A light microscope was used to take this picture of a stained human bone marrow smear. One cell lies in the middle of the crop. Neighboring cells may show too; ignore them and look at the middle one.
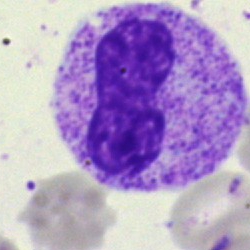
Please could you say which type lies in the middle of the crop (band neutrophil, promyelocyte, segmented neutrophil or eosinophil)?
band neutrophil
